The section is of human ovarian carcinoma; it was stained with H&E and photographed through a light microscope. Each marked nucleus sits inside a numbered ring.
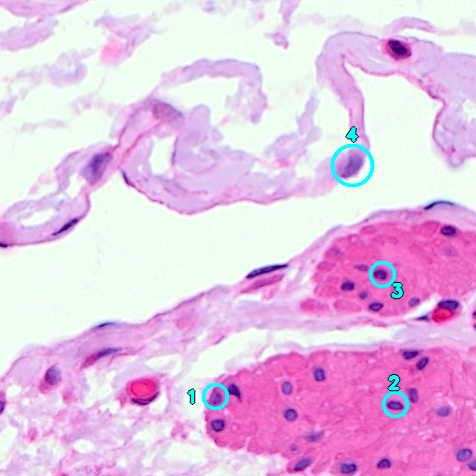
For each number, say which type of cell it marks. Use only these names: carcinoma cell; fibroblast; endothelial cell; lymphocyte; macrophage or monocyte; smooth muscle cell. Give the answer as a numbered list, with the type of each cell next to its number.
1. smooth muscle cell
2. smooth muscle cell
3. smooth muscle cell
4. endothelial cell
